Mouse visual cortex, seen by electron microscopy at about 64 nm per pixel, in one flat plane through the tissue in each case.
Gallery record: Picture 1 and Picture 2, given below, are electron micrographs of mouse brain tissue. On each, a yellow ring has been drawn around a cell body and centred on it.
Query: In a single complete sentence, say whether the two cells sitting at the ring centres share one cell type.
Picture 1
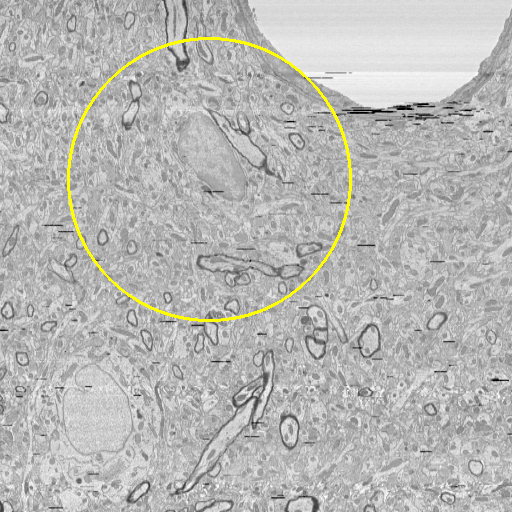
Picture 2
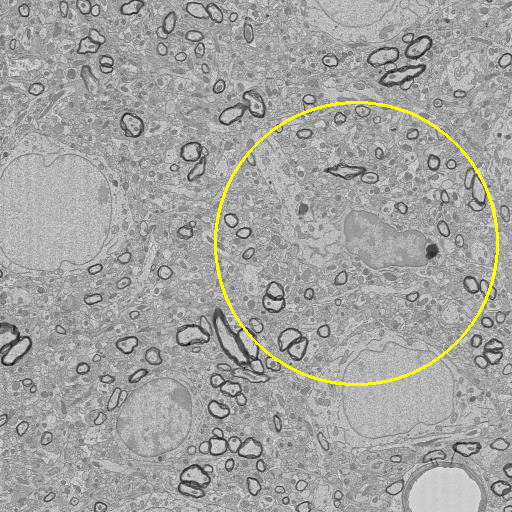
Yes, in both pictures the cell at the ring's centre is of one and the same type.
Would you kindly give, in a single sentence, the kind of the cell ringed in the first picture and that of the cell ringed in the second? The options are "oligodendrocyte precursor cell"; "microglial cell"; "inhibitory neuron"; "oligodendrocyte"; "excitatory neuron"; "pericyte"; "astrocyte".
Each of the two pictures has a microglial cell at the ring centre.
